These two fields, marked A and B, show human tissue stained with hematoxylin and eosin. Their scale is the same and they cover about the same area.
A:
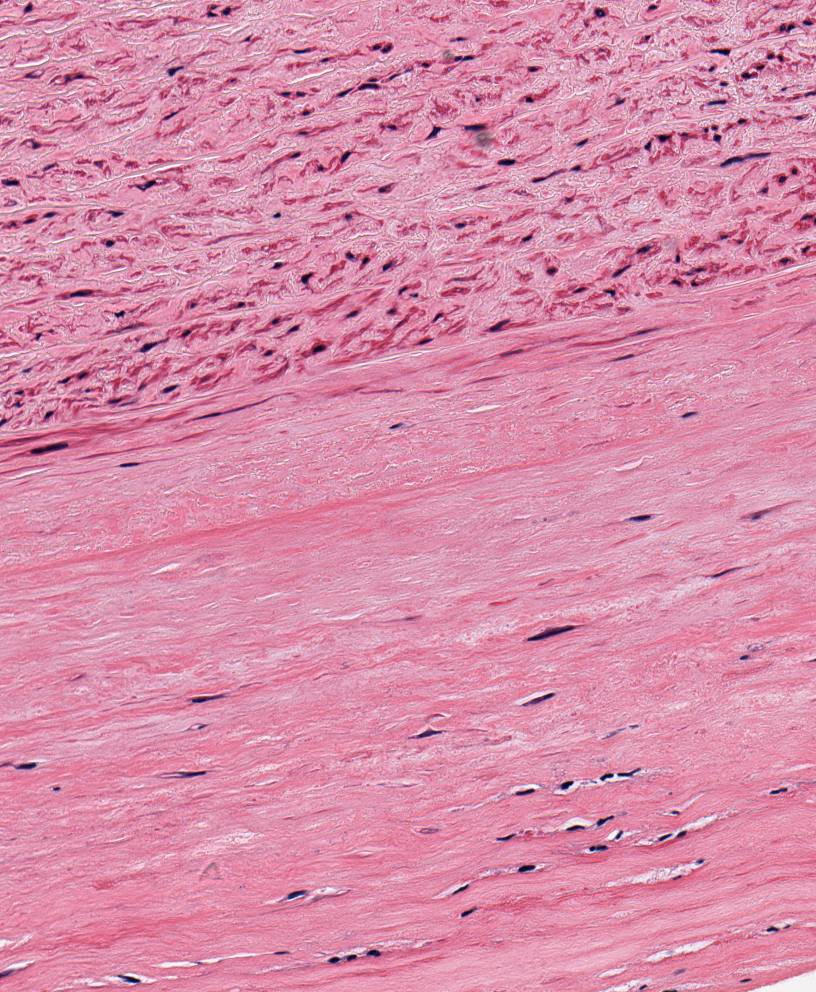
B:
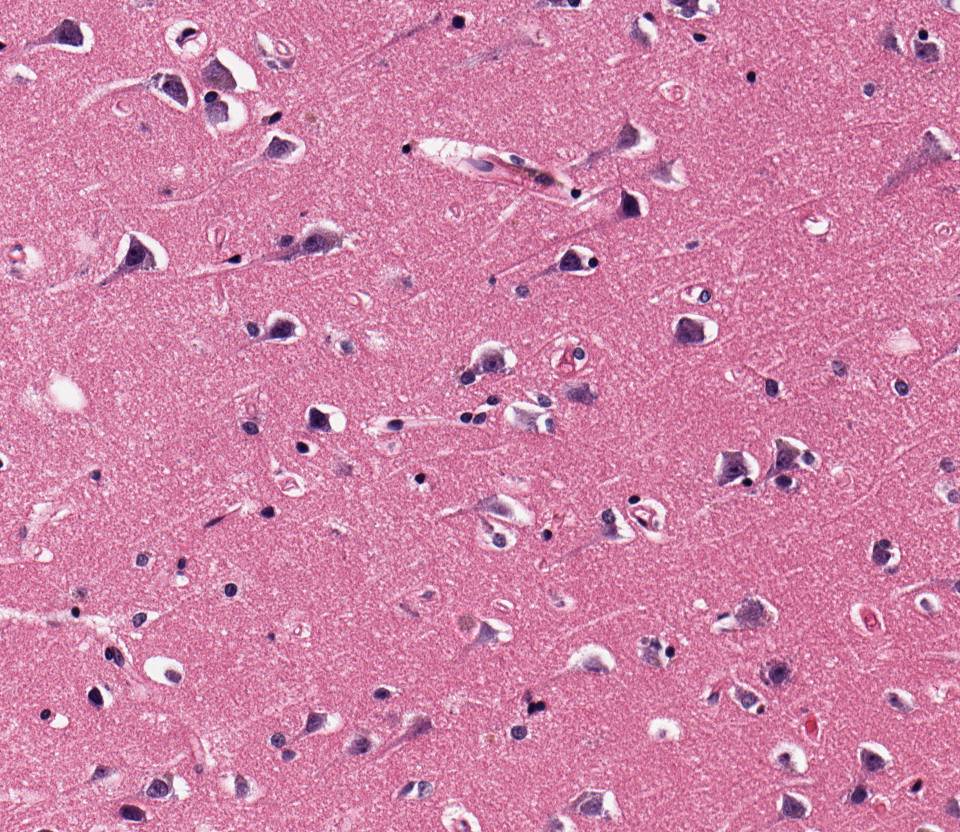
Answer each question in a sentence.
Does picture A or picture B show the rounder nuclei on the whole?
It is picture B whose nuclei are the rounder.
